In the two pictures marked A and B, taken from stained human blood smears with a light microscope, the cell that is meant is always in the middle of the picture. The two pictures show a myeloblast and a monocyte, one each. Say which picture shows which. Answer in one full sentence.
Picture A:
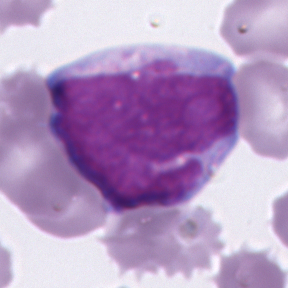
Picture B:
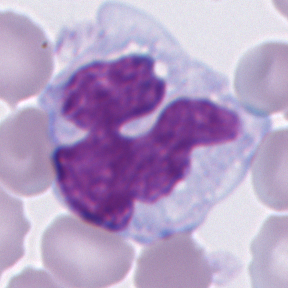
Picture A is of a myeloblast, and picture B is of a monocyte.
